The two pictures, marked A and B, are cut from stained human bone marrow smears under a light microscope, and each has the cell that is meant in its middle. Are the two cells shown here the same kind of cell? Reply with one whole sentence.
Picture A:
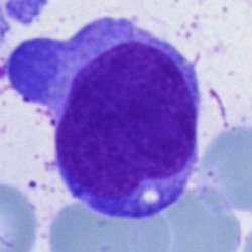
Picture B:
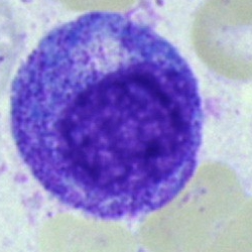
No. Picture A shows a blast, but picture B shows a promyelocyte.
